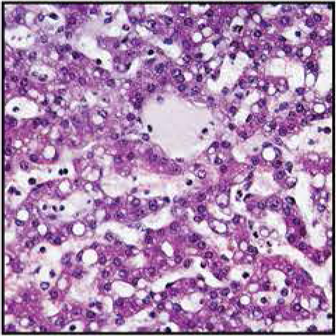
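This is liver with hepatocytes arranged in irregular cords separated by widened sinusoidal spaces. The hepatocytes are polygonal with round, centrally placed, dark purple nuclei and granular purple-pink cytoplasm. Many cells contain round, sharply outlined clear vacuoles that vary from small to about the size of a nucleus, some pushing against the nucleus; these clear spaces give the parenchyma a bubbly appearance. A larger rounded clear space lies in the upper part of the field. Unlike normal liver, the cords look disorganised and the cytoplasm is crowded with these empty-looking droplets, consistent with fat accumulation within hepatocytes.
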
